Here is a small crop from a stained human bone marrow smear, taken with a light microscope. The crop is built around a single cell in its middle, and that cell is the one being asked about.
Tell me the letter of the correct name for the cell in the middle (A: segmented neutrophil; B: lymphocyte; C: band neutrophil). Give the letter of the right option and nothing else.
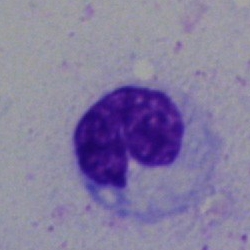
C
